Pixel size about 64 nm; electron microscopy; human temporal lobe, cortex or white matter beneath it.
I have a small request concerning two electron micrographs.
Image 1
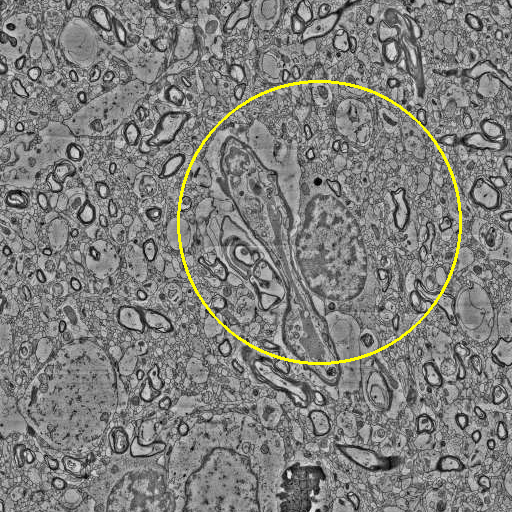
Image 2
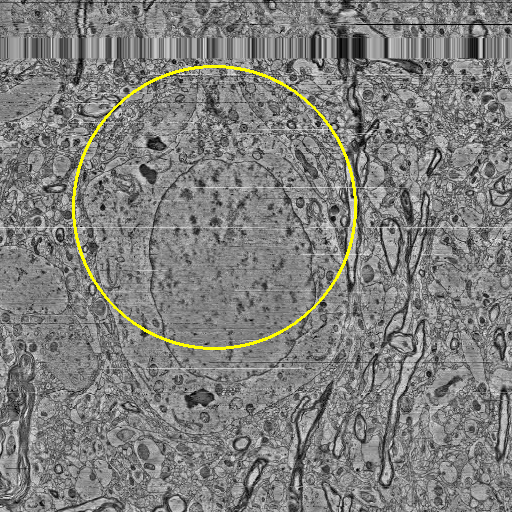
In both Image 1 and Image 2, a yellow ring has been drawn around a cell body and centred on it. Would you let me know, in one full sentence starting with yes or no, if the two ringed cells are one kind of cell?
No, the cells ringed in Image 1 and Image 2 are two kinds of cell.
